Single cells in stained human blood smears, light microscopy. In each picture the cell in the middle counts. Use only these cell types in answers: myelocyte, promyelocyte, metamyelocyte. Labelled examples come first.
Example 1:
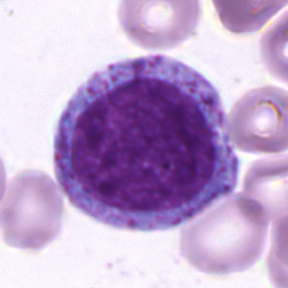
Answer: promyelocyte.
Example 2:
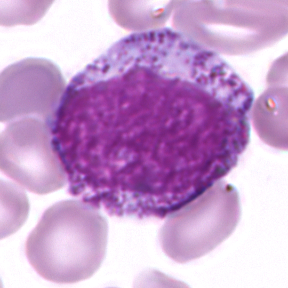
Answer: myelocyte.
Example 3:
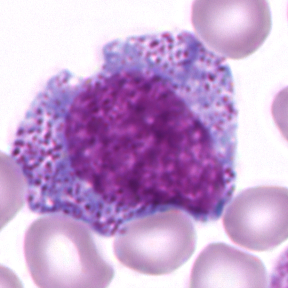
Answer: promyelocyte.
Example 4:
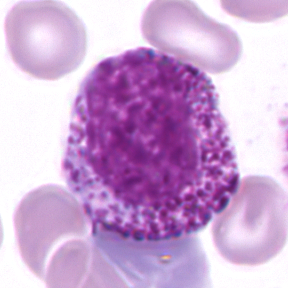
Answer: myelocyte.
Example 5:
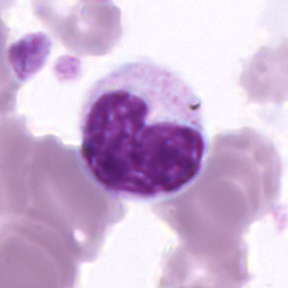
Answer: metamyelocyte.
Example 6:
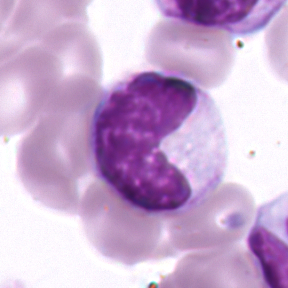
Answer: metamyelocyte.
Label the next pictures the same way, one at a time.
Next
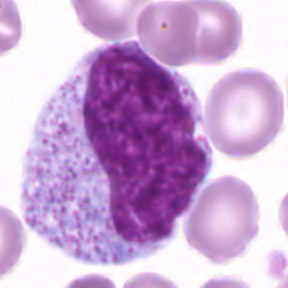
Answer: myelocyte.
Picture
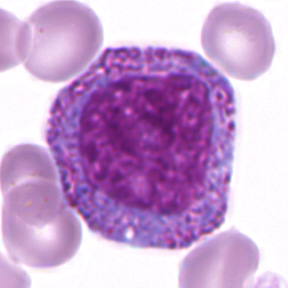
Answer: promyelocyte.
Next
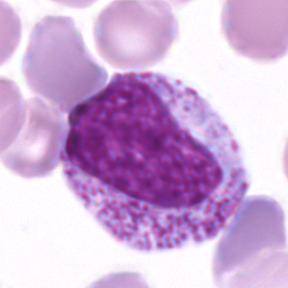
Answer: myelocyte.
